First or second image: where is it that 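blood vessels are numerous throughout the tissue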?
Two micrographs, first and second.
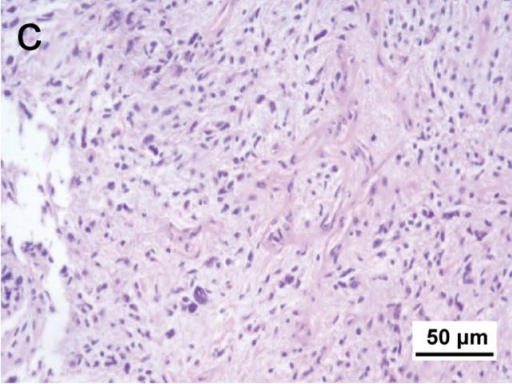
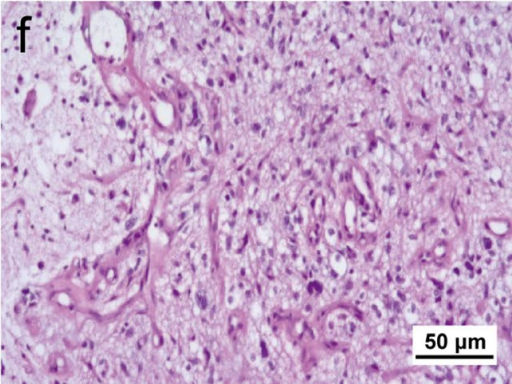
The second image.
